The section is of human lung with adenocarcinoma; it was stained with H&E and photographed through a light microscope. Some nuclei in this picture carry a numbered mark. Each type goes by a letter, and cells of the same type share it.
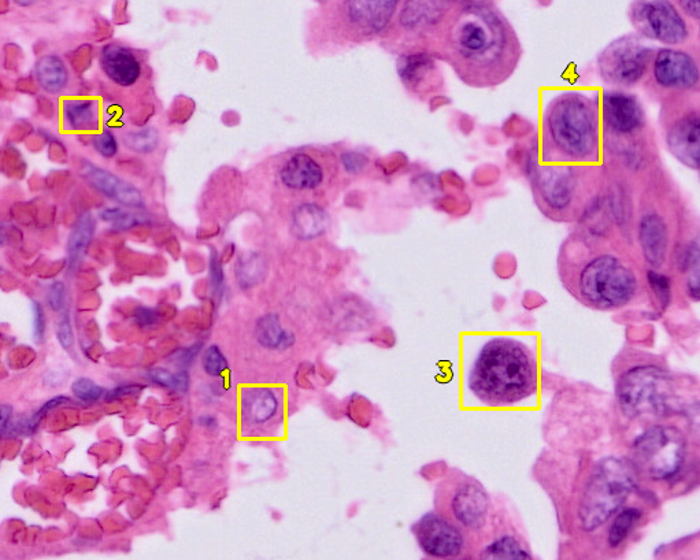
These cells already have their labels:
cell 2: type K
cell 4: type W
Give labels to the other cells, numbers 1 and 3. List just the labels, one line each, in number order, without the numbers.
type K
type W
